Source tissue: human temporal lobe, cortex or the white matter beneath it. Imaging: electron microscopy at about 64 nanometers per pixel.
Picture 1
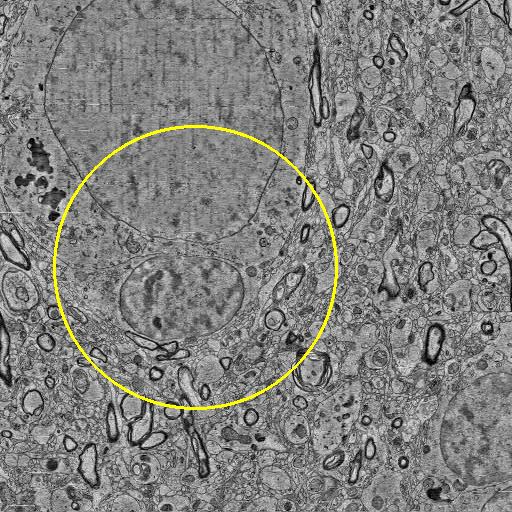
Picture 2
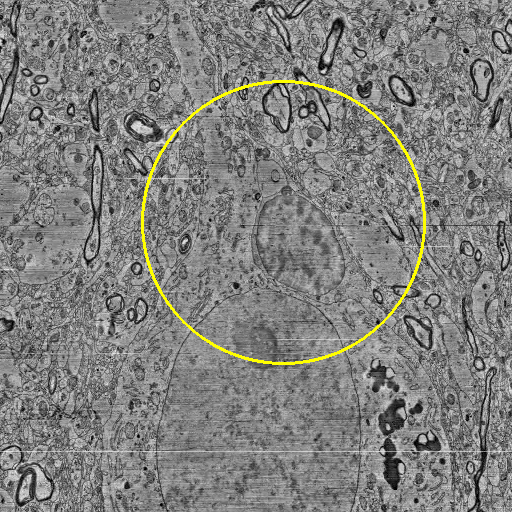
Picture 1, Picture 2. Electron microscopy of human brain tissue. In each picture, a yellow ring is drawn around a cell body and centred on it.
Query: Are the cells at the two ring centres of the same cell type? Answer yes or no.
yes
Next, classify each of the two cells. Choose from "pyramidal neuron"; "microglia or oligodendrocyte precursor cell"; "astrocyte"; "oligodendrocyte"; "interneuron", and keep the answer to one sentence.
Each of the two rings is centred on an oligodendrocyte.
